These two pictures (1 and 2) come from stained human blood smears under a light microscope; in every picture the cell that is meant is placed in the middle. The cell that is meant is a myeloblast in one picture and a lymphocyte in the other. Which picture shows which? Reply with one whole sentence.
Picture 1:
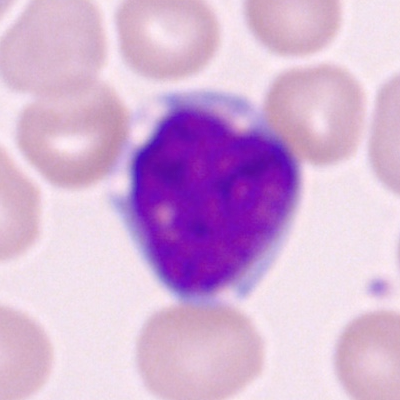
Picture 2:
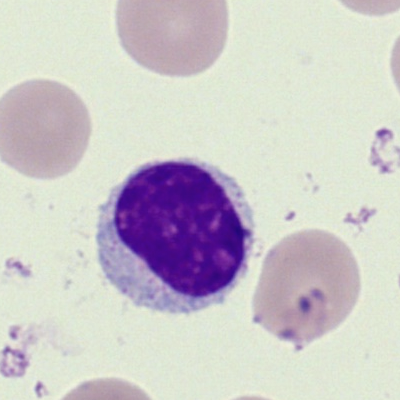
Picture 1 is of a myeloblast, and picture 2 is of a lymphocyte.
